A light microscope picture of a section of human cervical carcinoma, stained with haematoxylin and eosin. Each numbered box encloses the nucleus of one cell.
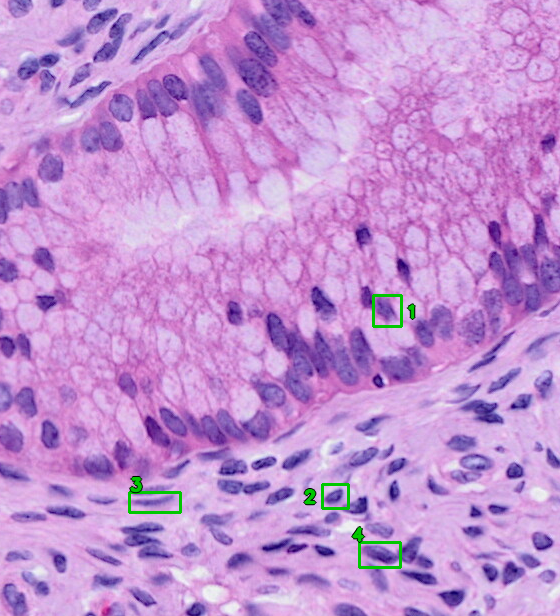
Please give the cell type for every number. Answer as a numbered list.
1. secretory epithelial cell
2. fibroblast
3. fibroblast
4. fibroblast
